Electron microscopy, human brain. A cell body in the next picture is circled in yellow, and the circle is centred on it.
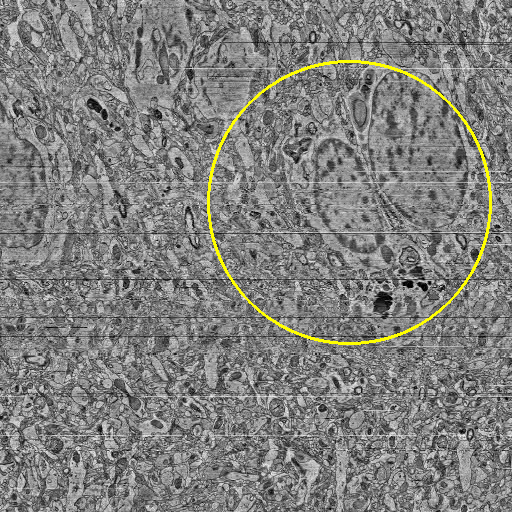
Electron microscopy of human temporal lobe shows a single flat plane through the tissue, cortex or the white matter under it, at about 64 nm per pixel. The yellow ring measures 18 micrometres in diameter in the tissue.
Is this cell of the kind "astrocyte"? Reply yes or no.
yes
